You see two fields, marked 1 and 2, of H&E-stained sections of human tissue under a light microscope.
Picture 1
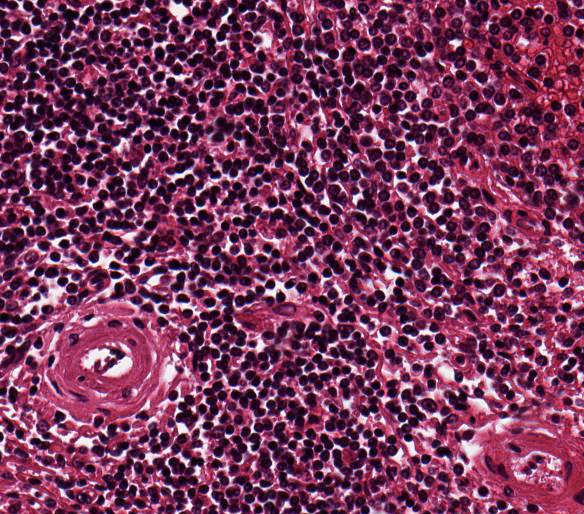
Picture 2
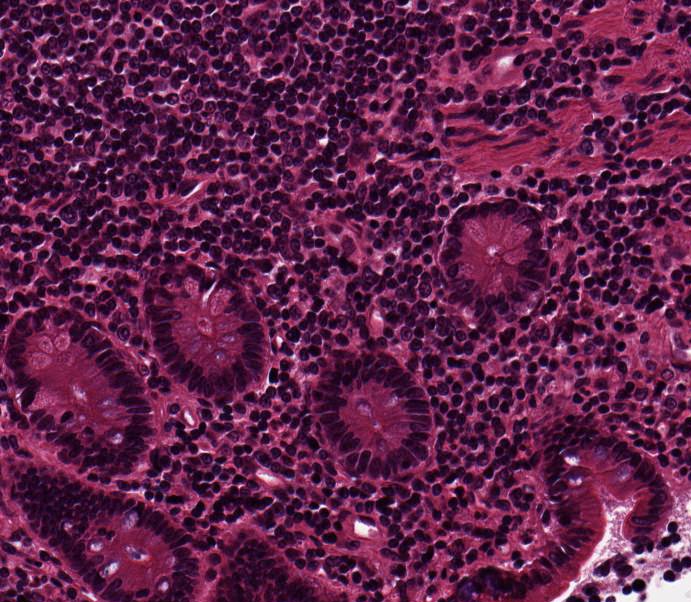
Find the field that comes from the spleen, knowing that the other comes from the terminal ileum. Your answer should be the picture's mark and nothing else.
1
